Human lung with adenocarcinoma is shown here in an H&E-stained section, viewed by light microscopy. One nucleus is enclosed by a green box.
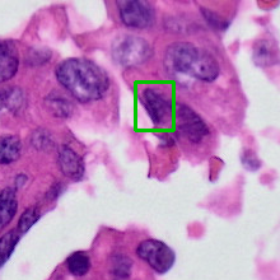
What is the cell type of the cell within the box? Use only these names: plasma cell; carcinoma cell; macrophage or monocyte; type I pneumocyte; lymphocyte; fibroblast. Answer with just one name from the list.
carcinoma cell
